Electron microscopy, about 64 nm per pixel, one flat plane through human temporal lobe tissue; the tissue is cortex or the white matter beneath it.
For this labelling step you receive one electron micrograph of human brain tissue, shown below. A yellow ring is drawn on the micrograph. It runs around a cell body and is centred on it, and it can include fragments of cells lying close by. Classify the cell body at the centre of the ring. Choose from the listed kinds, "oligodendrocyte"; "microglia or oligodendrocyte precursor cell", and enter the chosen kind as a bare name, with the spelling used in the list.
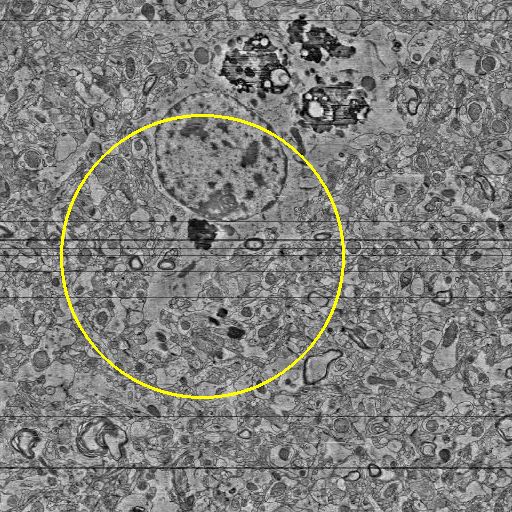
microglia or oligodendrocyte precursor cell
